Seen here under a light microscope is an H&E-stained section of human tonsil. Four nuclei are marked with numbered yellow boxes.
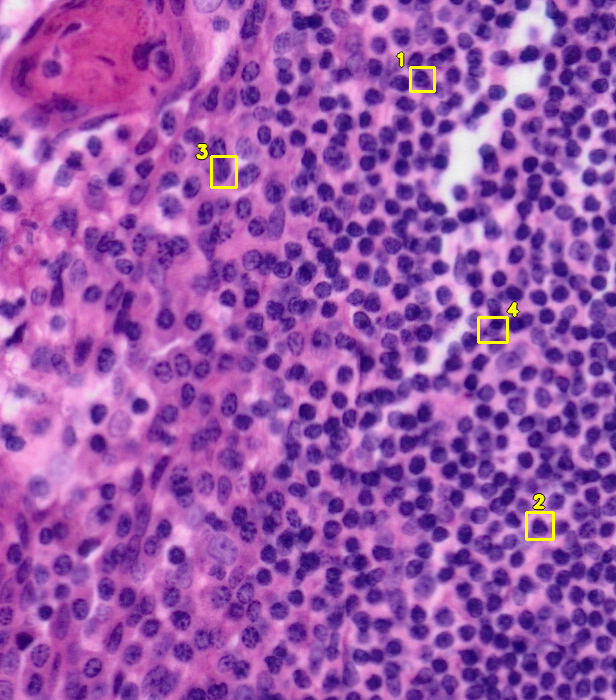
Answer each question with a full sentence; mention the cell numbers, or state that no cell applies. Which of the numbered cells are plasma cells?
Mind that only cell 3 is a plasma cell, none of the rest.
